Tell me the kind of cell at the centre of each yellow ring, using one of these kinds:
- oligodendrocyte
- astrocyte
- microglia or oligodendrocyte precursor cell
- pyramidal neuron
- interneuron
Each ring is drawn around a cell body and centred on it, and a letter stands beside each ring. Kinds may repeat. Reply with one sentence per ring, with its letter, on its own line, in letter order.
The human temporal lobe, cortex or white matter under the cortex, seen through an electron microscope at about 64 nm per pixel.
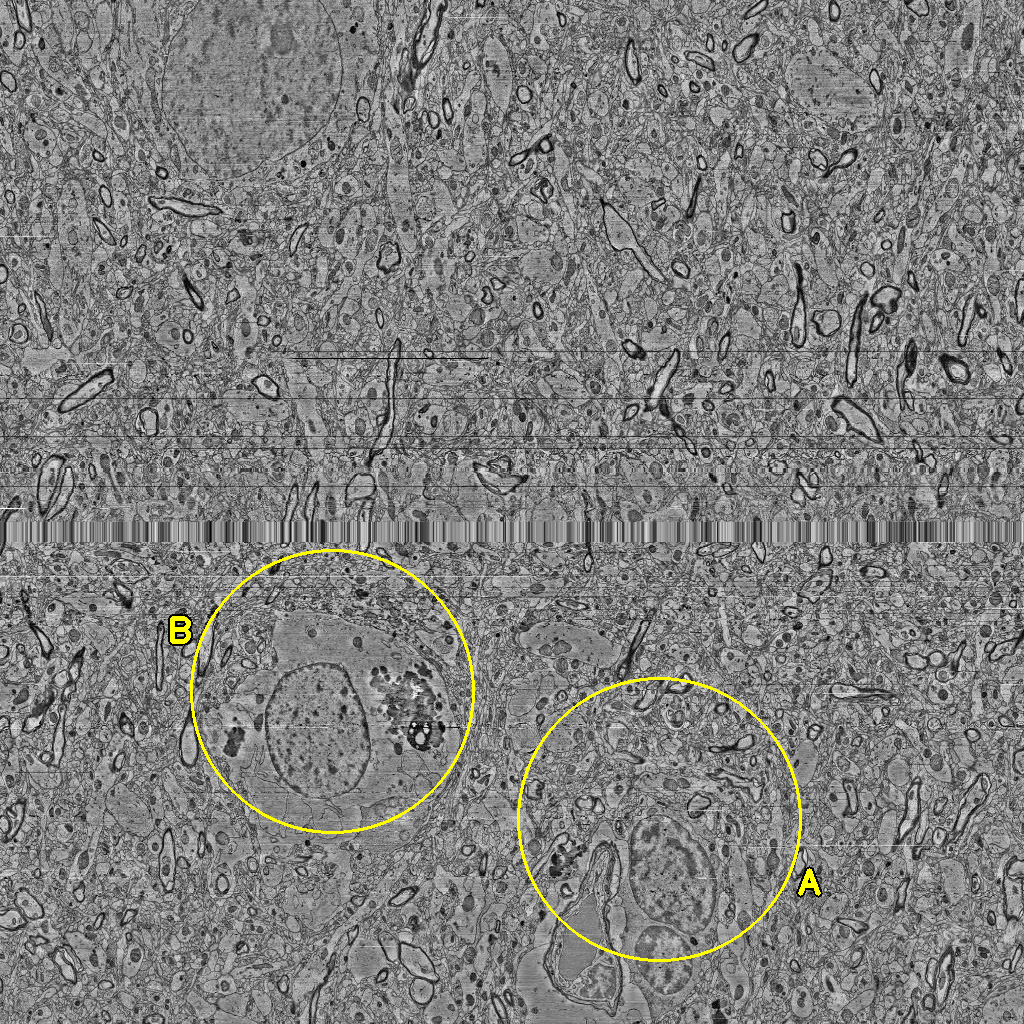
The ring labelled A is centred on an oligodendrocyte.
The ring labelled B is centred on an astrocyte.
